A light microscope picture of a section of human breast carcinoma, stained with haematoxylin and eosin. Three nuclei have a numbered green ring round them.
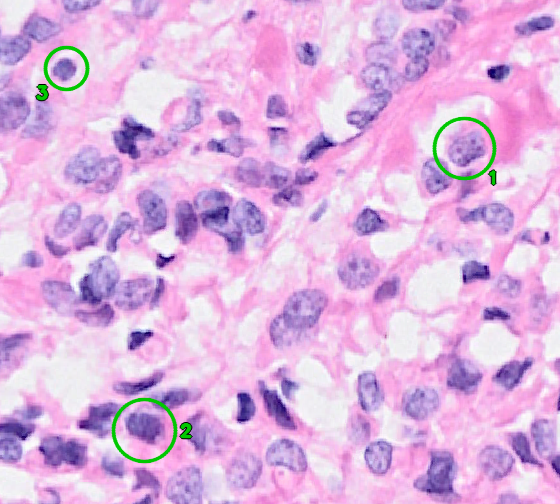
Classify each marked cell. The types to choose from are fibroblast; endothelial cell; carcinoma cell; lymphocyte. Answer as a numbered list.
1. carcinoma cell
2. carcinoma cell
3. lymphocyte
